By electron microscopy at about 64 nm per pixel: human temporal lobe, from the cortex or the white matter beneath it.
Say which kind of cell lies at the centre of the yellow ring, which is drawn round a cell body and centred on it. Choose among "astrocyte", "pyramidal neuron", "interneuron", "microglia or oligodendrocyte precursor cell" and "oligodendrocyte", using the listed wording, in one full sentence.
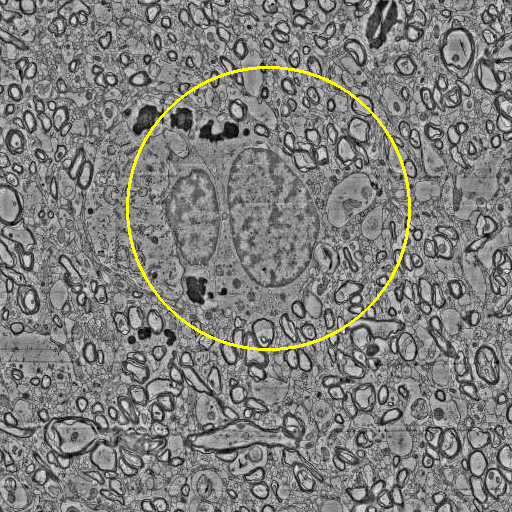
Going by the list, the cell at the yellow ring's centre is an oligodendrocyte.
